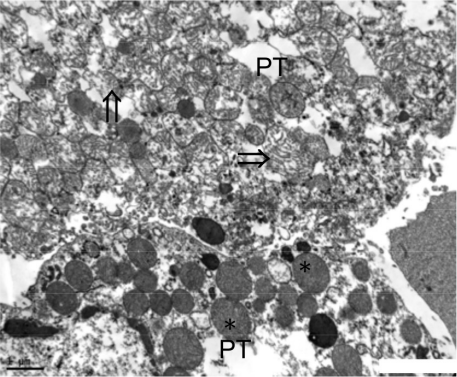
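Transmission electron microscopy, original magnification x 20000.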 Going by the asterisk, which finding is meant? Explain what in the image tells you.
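The asterisk lies on a round, enlarged mitochondrion. Nearby mitochondria are rounded rather than elongated. That points to this answer: abnormally shaped and focally quite swollen mitochondria.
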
